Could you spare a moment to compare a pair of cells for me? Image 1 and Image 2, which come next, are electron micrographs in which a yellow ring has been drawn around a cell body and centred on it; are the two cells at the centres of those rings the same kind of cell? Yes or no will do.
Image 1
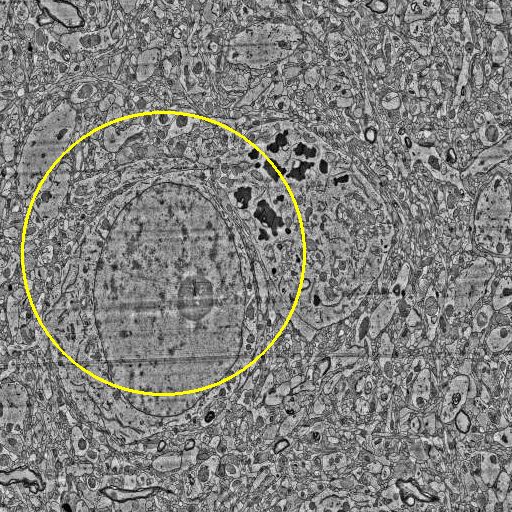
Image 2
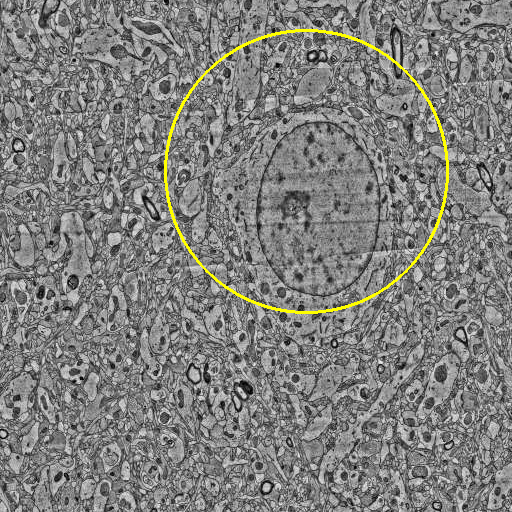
yes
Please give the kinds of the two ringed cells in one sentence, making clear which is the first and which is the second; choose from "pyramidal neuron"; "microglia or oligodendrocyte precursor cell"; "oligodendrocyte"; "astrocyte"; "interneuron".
In each of the two pictures, the ringed cell is a pyramidal neuron.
